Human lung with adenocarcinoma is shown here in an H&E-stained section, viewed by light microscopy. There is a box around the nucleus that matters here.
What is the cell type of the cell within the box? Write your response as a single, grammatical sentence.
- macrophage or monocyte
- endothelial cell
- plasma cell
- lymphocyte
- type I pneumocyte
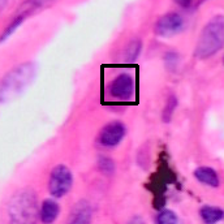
Students should answer that the cell within the box is a plasma cell.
